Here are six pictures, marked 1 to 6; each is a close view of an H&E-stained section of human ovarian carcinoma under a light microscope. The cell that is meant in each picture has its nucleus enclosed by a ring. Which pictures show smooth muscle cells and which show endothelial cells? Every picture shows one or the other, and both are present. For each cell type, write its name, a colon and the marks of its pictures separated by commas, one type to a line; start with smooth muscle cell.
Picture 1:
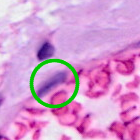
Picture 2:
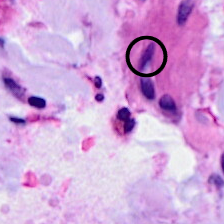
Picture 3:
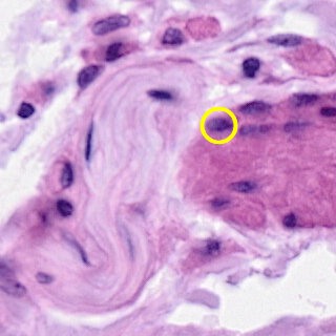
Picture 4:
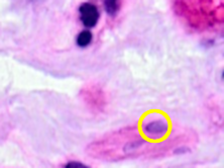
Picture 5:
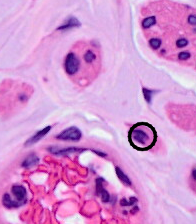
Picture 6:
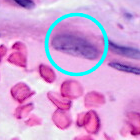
smooth muscle cell: 2, 3, 4, 5
endothelial cell: 1, 6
